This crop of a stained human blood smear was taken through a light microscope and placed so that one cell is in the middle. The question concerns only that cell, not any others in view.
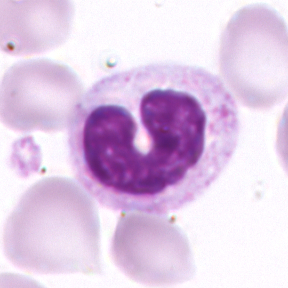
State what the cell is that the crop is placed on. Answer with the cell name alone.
band neutrophil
